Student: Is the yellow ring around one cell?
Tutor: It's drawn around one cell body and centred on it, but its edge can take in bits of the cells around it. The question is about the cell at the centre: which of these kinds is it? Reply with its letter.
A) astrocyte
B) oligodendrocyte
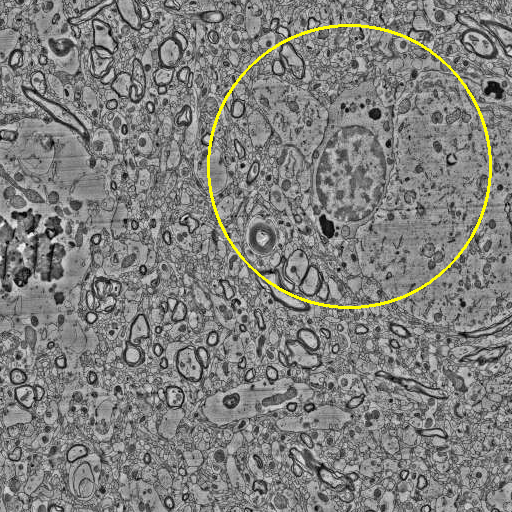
B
